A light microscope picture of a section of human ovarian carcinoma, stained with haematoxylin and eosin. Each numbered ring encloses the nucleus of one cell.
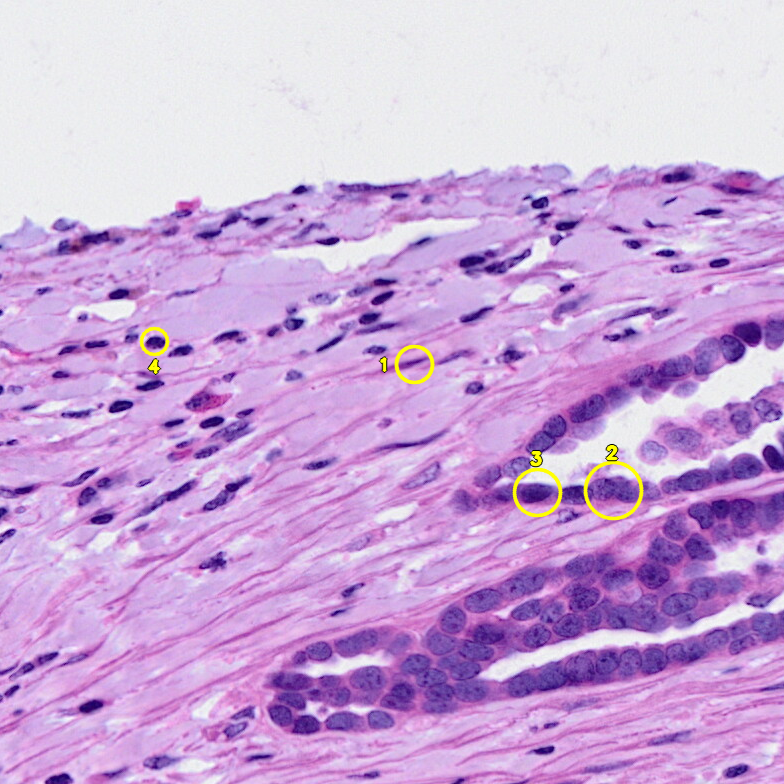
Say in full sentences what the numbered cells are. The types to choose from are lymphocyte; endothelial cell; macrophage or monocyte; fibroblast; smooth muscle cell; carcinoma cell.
Cell 1 is a fibroblast. Cells 2 and 3 are carcinoma cells. Cell 4 is a lymphocyte.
